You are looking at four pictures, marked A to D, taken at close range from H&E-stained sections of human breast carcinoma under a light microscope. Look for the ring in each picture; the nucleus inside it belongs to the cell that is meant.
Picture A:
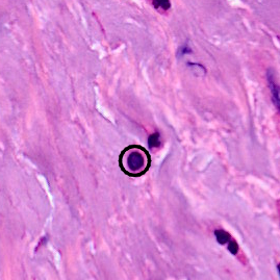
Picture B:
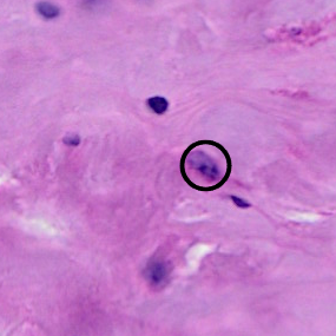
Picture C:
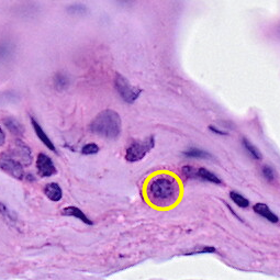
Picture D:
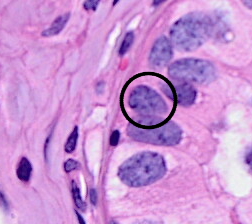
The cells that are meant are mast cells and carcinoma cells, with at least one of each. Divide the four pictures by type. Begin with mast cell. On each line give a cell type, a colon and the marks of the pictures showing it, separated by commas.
mast cell: A, B, C
carcinoma cell: D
